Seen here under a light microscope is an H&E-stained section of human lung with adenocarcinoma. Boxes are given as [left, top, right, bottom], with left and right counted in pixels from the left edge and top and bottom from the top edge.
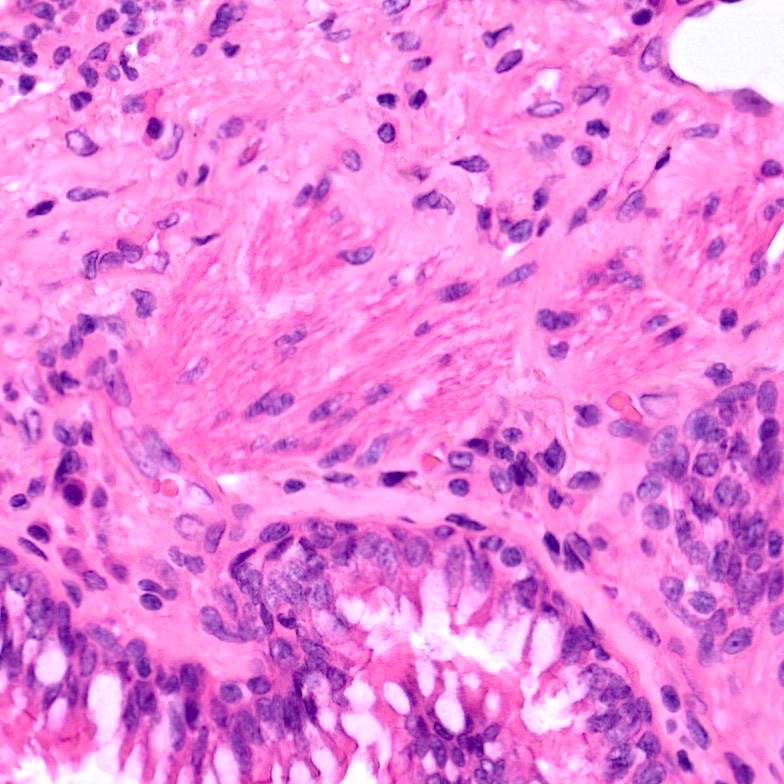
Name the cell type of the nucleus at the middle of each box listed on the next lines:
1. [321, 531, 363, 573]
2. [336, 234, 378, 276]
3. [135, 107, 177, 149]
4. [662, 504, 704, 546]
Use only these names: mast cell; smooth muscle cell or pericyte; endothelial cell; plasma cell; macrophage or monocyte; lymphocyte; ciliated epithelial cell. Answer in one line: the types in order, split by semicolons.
ciliated epithelial cell; smooth muscle cell or pericyte; plasma cell; ciliated epithelial cell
